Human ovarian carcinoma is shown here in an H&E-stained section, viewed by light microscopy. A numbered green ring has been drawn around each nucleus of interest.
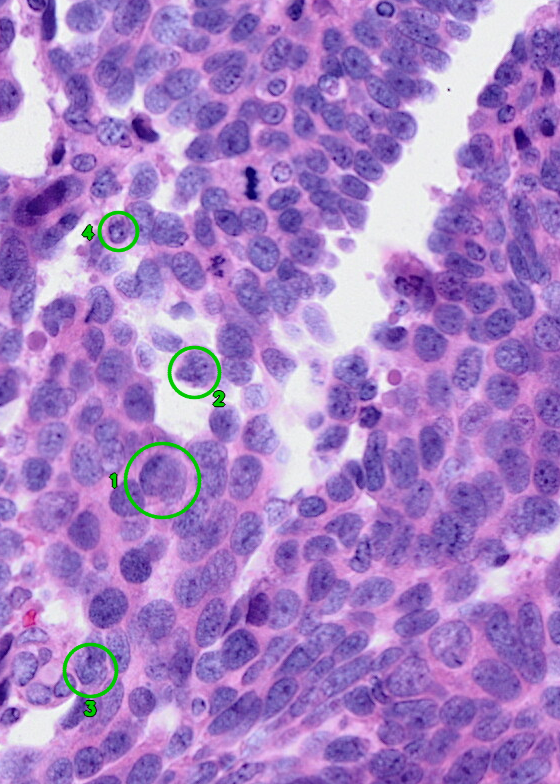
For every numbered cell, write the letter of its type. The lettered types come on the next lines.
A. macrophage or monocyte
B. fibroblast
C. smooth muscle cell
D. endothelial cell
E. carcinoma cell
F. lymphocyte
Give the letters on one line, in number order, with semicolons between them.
E; E; E; A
